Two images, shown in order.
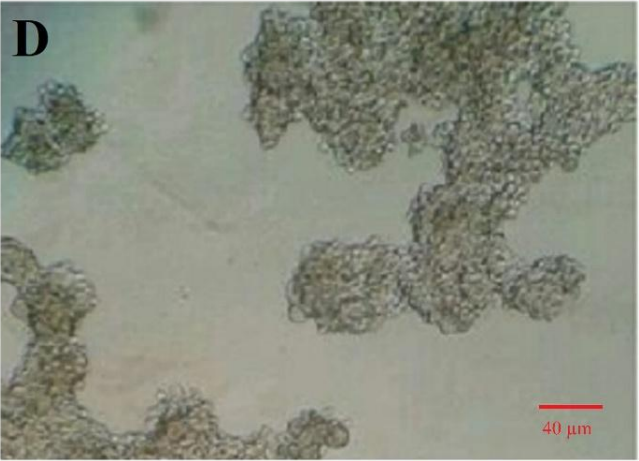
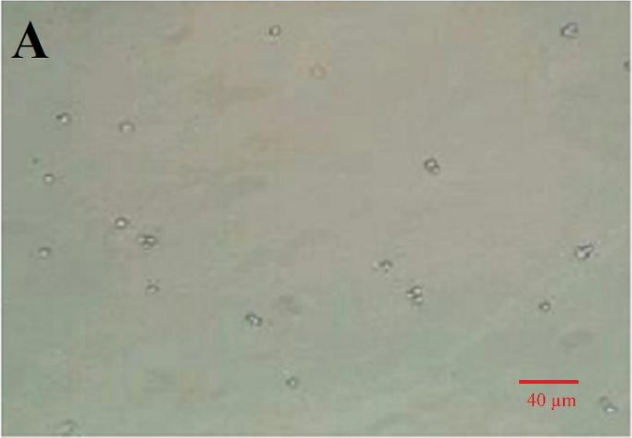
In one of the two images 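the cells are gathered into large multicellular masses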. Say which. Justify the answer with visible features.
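First image: big branching masses made of many packed round cells.
Answer: the first image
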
